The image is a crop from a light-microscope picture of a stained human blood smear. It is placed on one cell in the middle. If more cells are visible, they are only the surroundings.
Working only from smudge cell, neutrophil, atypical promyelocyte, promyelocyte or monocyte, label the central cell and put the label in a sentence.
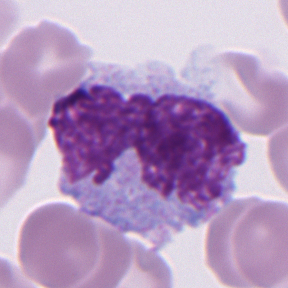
Looking at the middle of the crop, the cell there is a monocyte.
